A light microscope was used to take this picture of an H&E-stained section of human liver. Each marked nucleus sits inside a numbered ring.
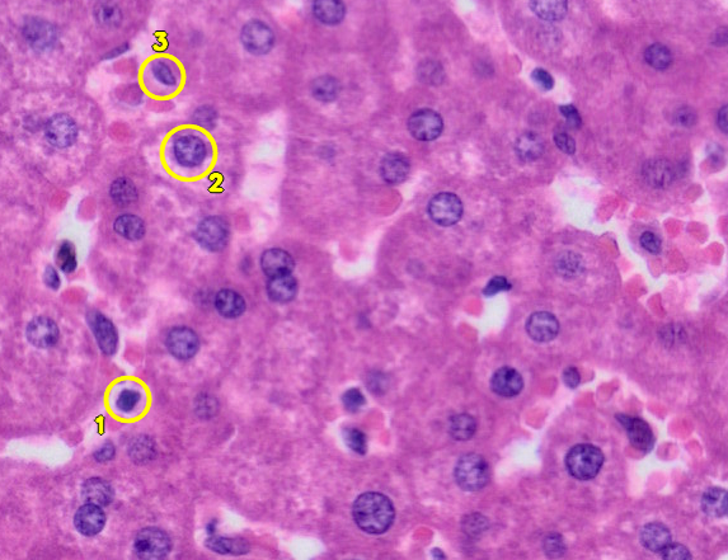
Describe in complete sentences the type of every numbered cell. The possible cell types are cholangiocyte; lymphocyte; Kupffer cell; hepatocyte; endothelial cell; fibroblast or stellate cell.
Cell 1 is a lymphocyte, cell 2 is a hepatocyte and cell 3 is a fibroblast or stellate cell.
